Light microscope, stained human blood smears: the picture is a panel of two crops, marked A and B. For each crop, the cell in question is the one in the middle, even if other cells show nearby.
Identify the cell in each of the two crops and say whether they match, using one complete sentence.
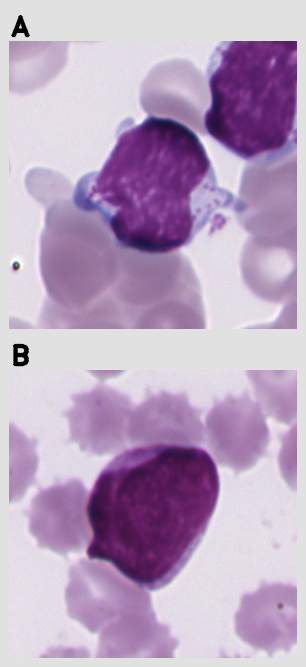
No, crop A contains a large granular lymphocyte, and crop B contains a blast.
